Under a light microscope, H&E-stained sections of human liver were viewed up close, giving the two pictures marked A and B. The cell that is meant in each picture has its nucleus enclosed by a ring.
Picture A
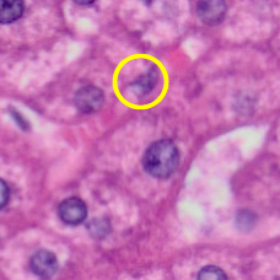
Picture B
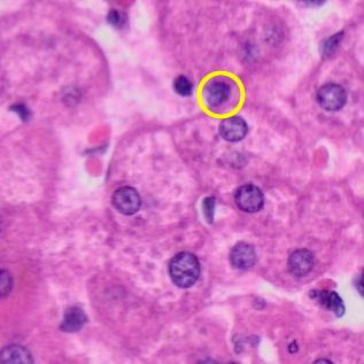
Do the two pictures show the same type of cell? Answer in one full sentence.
No, the types are not the same, since picture A shows an endothelial cell and picture B a “fibroblast or stellate cell”.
